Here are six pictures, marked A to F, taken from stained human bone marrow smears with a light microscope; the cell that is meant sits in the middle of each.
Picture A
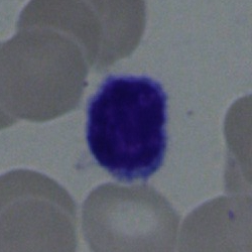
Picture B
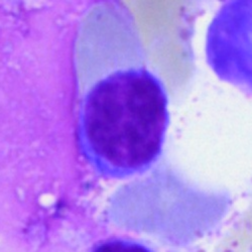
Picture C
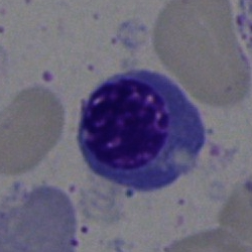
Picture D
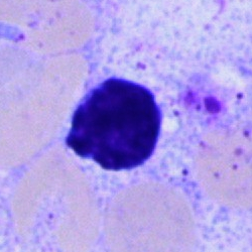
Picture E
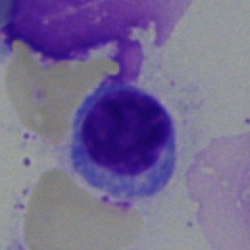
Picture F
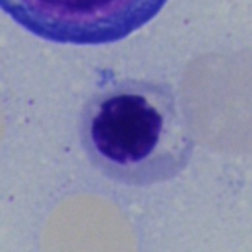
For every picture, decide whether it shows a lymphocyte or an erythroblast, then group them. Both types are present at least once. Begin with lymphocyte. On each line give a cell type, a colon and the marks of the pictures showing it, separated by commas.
lymphocyte: A, B, D, E
erythroblast: C, F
